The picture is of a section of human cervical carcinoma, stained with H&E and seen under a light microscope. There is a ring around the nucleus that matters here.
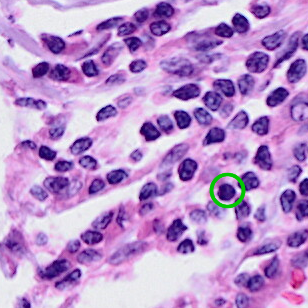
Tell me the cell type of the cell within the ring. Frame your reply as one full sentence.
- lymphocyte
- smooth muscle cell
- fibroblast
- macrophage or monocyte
What the cell within the ring represents is a lymphocyte.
